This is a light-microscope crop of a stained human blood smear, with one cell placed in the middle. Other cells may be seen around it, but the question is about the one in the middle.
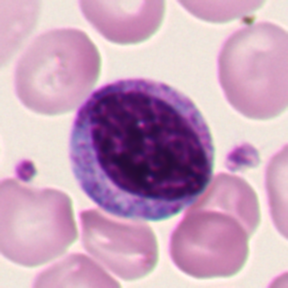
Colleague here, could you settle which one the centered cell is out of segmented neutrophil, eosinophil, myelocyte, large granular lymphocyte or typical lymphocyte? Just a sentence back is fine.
The cell in the middle of the field of view is a myelocyte.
